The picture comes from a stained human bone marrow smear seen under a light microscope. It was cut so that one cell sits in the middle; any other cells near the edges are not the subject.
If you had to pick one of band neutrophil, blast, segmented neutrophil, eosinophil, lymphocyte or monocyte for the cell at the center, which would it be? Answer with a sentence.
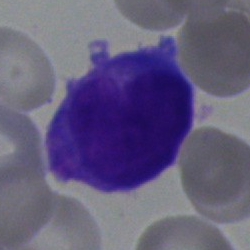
At the center of the crop sits a blast.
